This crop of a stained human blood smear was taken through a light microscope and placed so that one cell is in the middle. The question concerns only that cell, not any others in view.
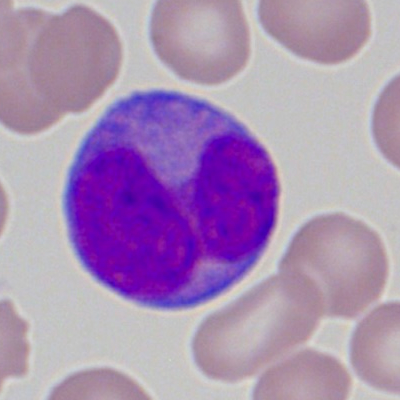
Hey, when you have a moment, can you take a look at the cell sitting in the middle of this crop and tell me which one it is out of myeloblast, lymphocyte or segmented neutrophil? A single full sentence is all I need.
Centrally within this crop lies a myeloblast.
